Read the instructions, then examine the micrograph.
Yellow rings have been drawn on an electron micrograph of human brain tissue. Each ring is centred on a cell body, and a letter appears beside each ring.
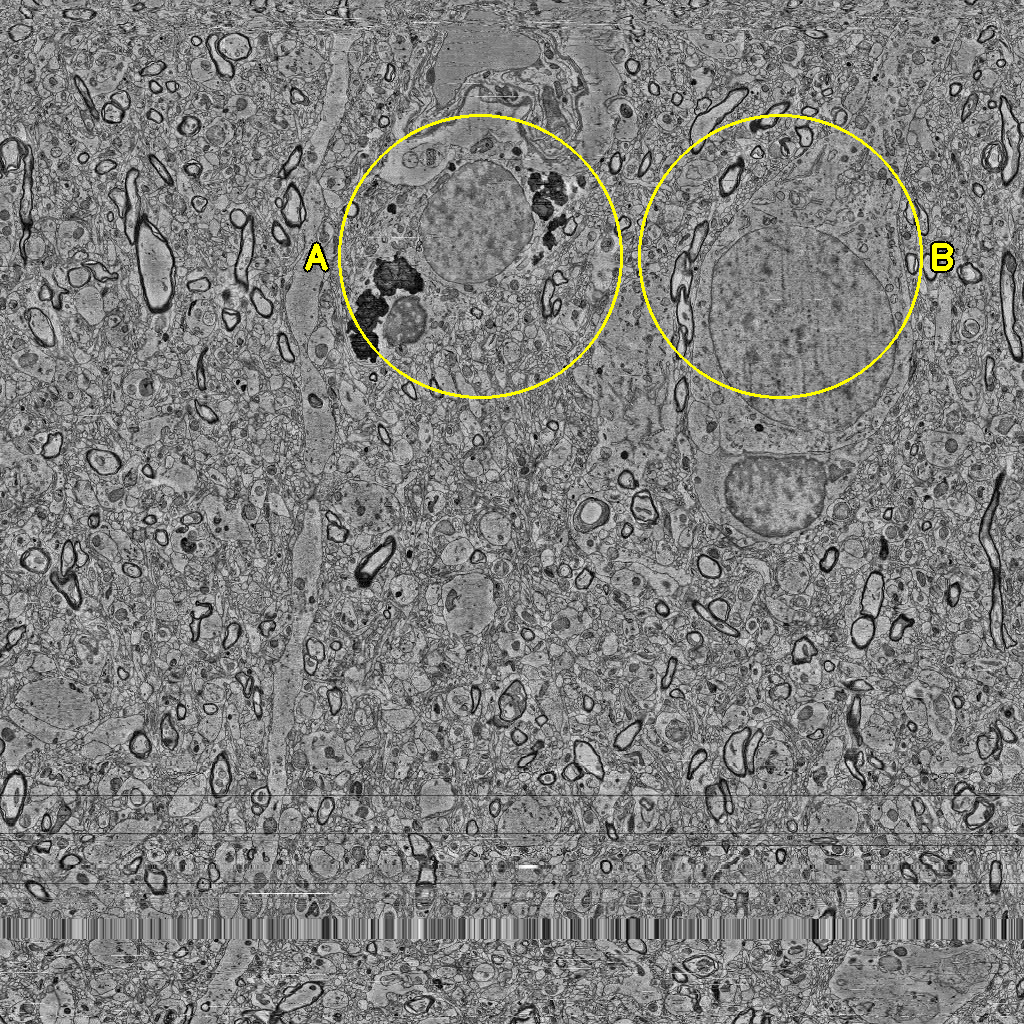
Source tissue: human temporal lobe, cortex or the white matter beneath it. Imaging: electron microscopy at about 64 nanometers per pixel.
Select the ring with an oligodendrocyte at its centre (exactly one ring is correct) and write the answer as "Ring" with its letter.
Ring A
